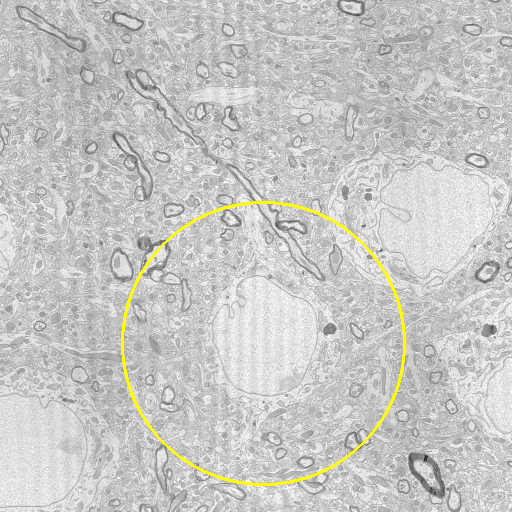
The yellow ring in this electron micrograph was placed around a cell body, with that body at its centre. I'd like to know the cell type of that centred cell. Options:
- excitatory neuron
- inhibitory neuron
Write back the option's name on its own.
excitatory neuron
